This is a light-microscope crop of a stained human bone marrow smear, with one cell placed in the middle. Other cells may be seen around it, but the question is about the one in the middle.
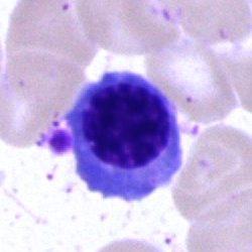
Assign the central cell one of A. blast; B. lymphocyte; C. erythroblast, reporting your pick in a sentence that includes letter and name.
The cell shown centrally is an erythroblast; option C is the correct option.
